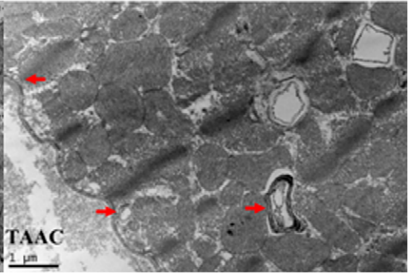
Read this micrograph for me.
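Red arrows mark autophagic vacuoles, membrane-bound cytoplasmic vacuoles, one of which holds dark, electron-dense material within a clear space. A pale, electron-lucent area lies at the left edge.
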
